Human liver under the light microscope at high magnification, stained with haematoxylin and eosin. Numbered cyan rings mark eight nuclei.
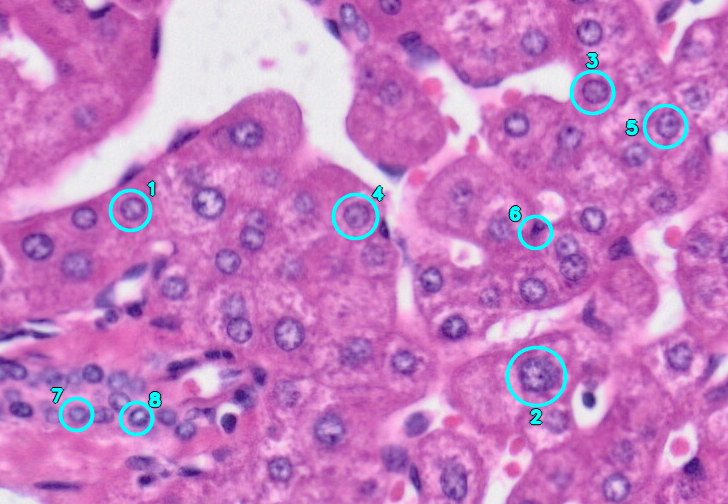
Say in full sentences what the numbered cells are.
Cell 1 is a hepatocyte, cell 2 is a hepatocyte, cell 3 is a hepatocyte, cell 4 is a hepatocyte, cell 5 is a hepatocyte, cell 6 is a fibroblast or stellate cell, cell 7 is a cholangiocyte and cell 8 is a cholangiocyte.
